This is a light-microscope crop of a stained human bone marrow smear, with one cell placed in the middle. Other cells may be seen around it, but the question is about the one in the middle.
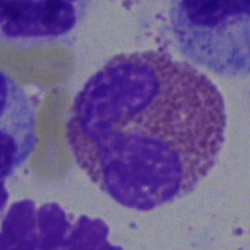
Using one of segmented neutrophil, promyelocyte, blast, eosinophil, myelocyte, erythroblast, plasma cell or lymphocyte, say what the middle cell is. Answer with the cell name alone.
eosinophil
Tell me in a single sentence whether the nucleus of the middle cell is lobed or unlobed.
You can count two or more lobes in this nucleus.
